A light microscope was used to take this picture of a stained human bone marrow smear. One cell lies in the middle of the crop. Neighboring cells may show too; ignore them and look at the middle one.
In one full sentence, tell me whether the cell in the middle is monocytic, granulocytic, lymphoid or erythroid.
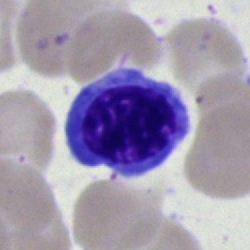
The centered cell should be recorded as belonging to the erythroid lineage.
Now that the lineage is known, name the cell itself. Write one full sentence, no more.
The single cell at the center of the crop is an erythroblast.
